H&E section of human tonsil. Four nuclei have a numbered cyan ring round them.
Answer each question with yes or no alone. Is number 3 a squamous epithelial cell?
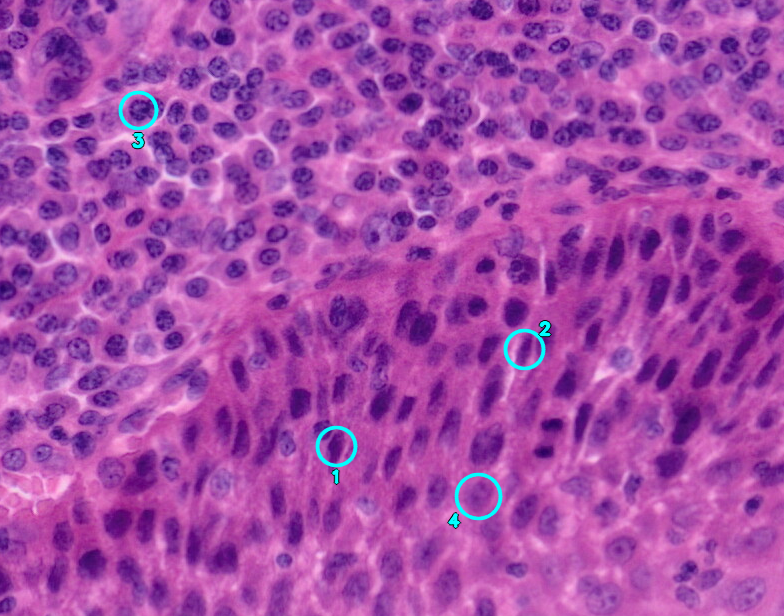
no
